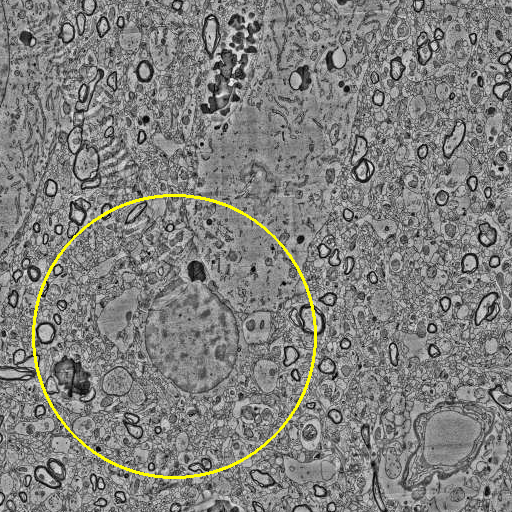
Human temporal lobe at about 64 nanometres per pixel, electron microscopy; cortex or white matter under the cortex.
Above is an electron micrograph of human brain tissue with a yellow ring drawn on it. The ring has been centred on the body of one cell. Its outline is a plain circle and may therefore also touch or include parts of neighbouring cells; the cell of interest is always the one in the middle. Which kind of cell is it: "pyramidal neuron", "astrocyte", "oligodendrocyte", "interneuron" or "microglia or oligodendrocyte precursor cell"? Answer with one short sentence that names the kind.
The ring's central cell body is that of an oligodendrocyte.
